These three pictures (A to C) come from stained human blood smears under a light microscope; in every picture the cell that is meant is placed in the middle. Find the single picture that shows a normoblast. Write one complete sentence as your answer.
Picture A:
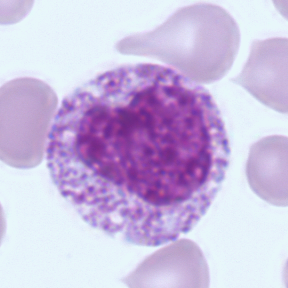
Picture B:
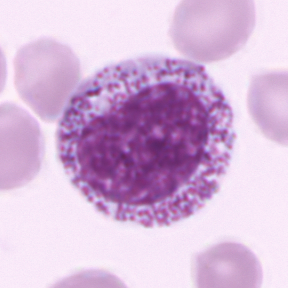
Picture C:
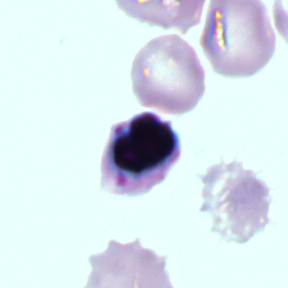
The normoblast is the one in picture C.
